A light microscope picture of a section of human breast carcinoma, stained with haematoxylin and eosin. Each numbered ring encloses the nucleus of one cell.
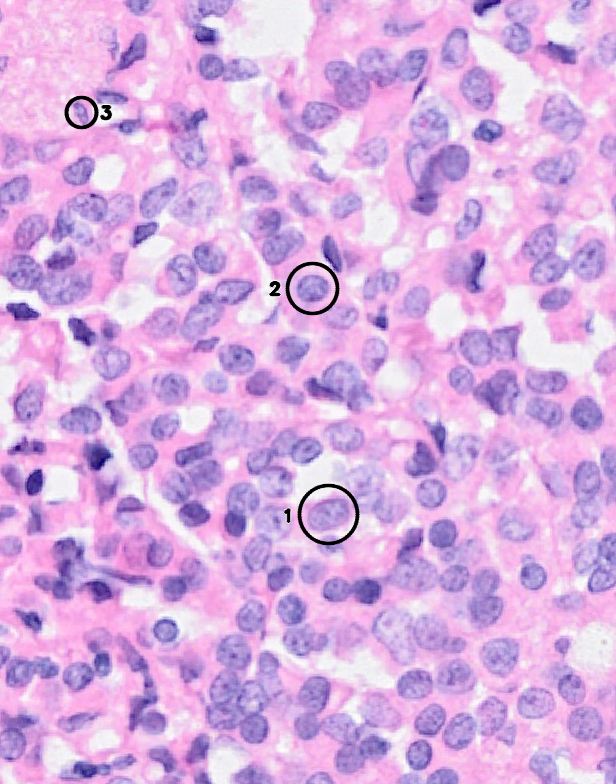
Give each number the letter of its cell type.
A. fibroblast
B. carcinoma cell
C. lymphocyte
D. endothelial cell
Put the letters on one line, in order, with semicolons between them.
B; B; D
